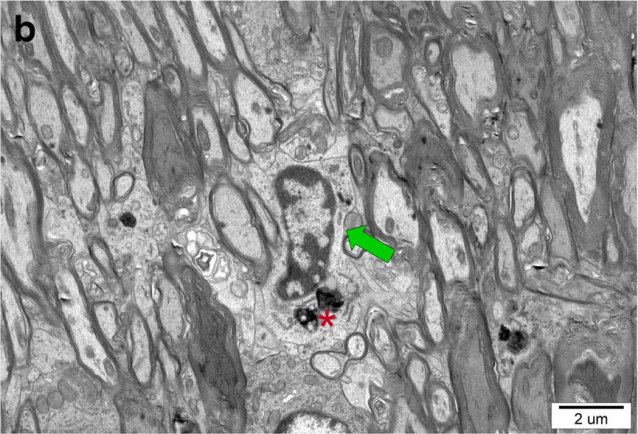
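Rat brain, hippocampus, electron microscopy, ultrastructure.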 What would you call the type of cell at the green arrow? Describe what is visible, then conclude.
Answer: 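The arrow points to a cell with an elongated, irregular nucleus with dense, dark chromatin. The cell lies among many myelinated axons. Dark dense bodies lie in its cytoplasm.
Answer: Activated microglial cells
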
